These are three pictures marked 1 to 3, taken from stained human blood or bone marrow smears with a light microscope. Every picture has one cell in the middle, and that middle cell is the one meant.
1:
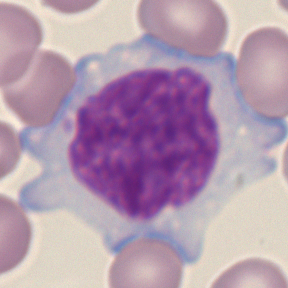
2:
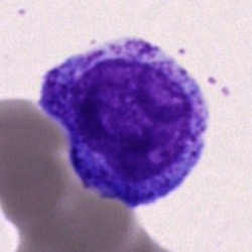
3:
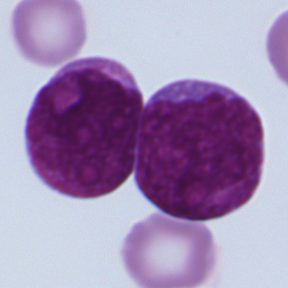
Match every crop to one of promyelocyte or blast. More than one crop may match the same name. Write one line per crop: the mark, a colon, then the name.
1: blast
2: promyelocyte
3: blast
